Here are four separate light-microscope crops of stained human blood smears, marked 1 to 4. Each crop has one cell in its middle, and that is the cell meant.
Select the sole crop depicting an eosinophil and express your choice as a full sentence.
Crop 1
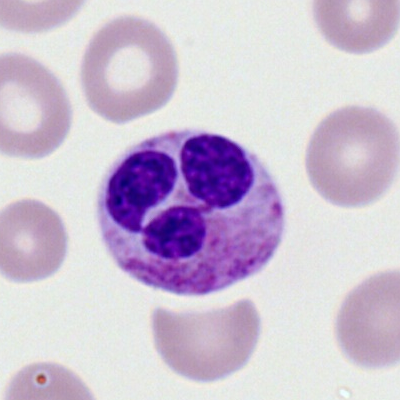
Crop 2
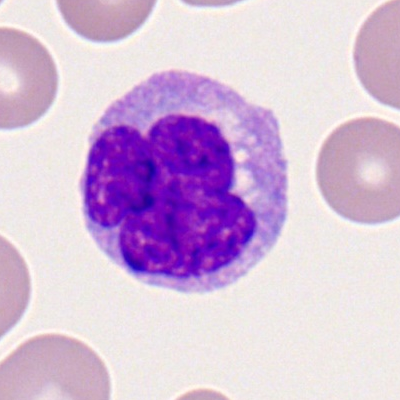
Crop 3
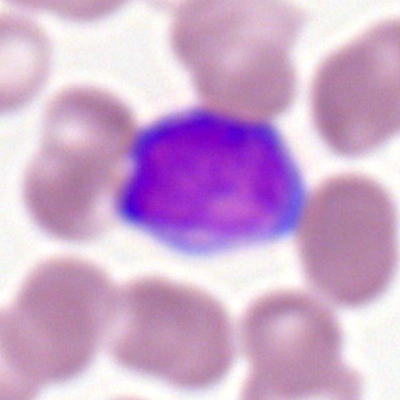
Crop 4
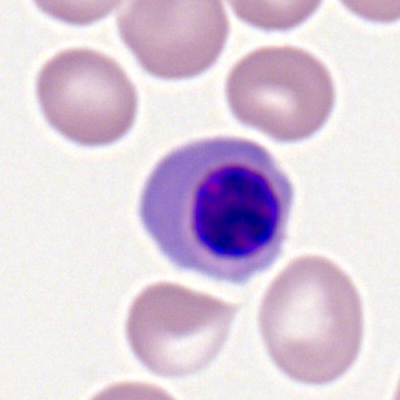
Only in crop 1 is an eosinophil shown.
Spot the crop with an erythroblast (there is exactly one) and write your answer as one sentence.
Crop 4 is the one in the set with an erythroblast at the center.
